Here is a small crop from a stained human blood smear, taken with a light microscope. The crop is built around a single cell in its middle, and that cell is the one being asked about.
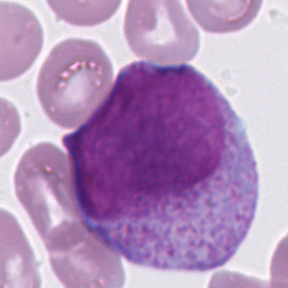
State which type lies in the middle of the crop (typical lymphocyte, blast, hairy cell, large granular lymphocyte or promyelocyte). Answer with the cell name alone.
promyelocyte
